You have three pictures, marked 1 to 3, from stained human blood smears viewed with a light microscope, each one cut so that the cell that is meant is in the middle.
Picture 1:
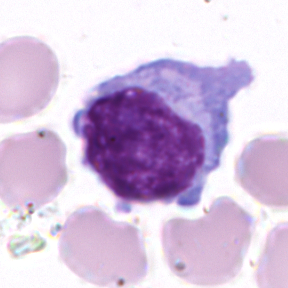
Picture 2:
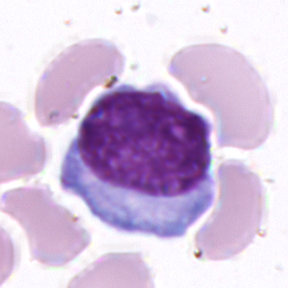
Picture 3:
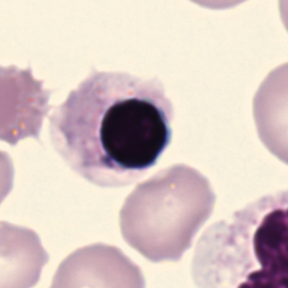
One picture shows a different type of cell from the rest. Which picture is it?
3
